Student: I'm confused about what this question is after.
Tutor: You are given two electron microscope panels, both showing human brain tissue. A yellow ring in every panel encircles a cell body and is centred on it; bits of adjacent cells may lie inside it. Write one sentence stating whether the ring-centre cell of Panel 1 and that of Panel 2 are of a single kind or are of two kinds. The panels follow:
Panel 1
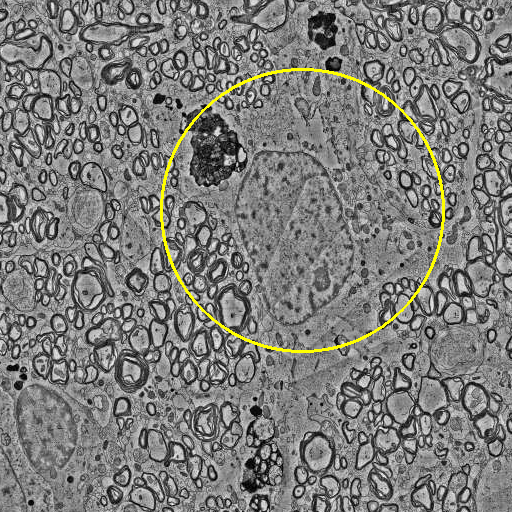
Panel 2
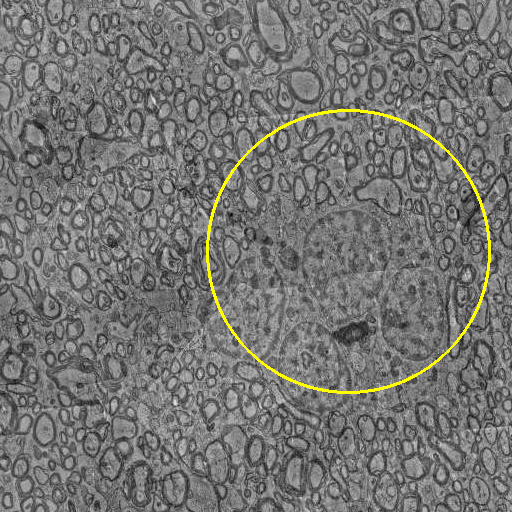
Here, the Panel 1 ring-centre cell and the Panel 2 ring-centre cell are of two kinds.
